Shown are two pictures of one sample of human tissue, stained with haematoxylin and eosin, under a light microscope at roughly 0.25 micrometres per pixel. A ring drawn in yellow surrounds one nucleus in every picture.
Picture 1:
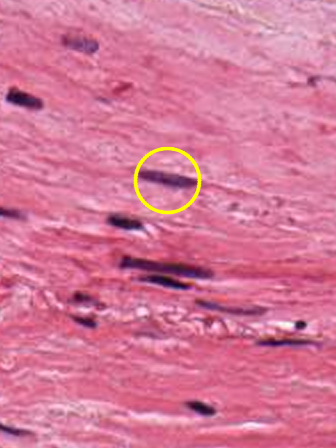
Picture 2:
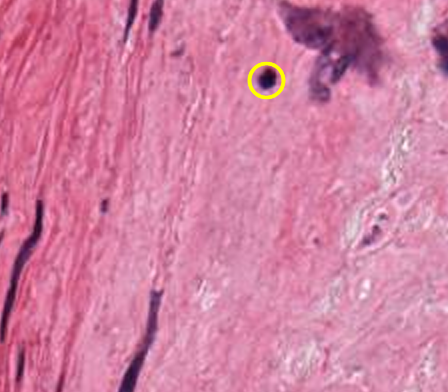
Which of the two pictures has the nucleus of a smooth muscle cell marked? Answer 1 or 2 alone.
1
